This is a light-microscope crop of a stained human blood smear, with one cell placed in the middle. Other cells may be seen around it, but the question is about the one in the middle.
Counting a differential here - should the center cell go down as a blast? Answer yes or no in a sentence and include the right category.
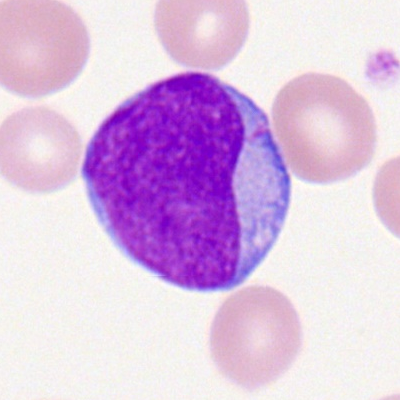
Yes, as for the central cell, it is a blast.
